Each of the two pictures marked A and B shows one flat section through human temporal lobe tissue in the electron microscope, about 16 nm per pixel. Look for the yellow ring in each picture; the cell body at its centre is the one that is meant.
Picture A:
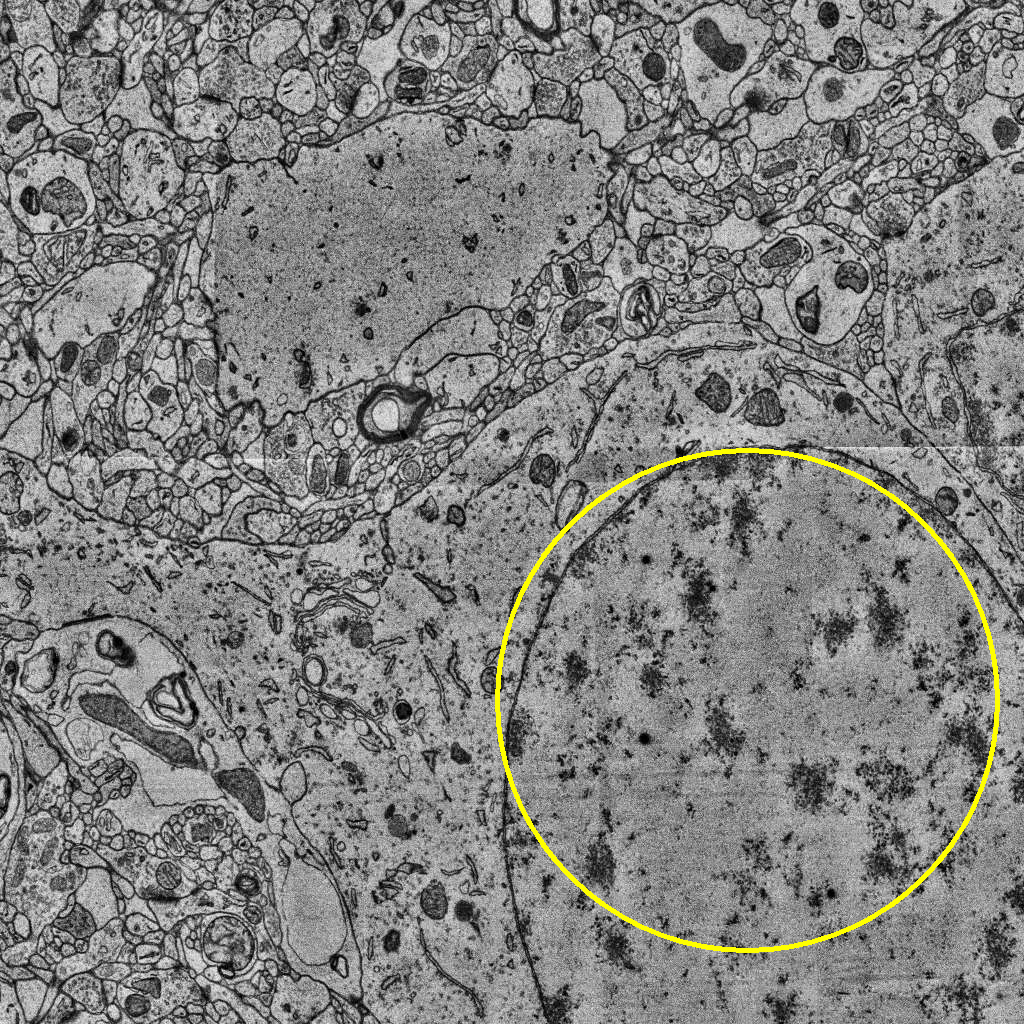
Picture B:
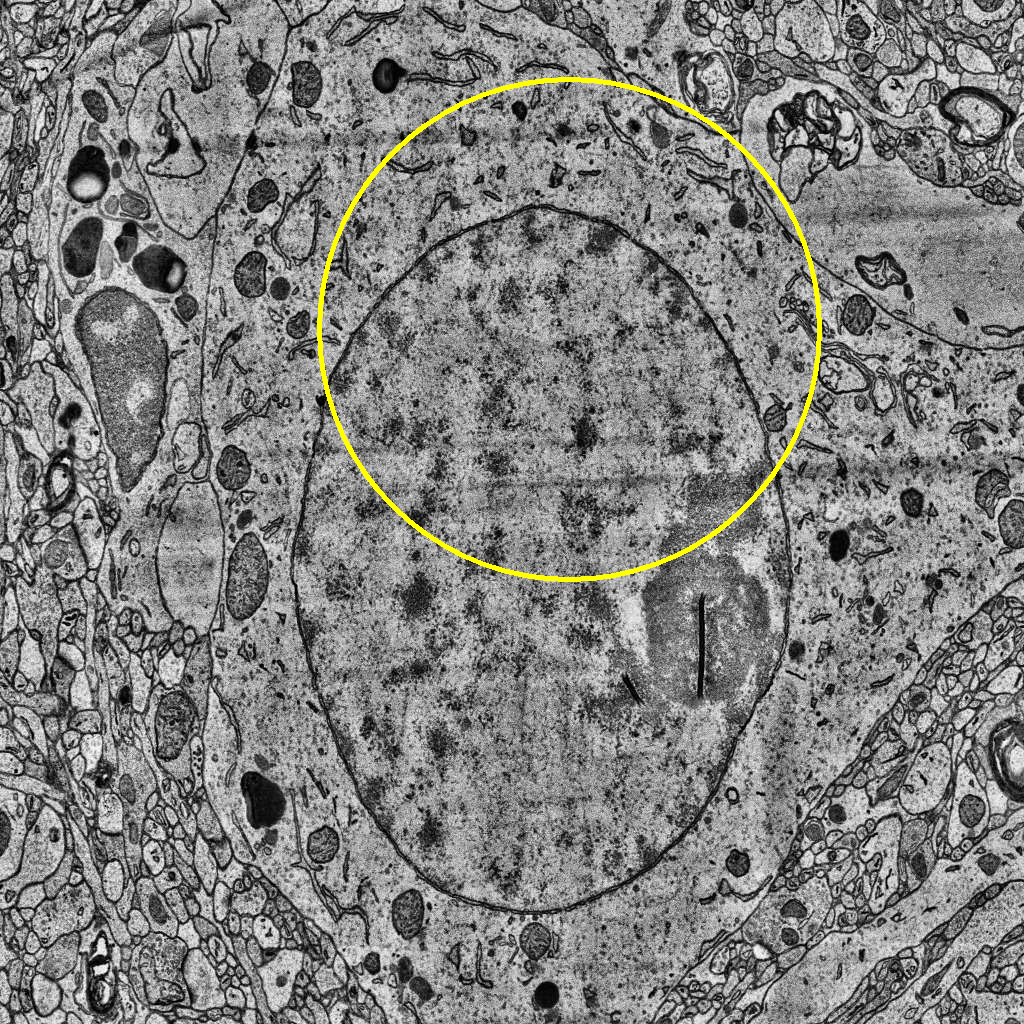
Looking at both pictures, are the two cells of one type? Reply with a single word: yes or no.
yes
